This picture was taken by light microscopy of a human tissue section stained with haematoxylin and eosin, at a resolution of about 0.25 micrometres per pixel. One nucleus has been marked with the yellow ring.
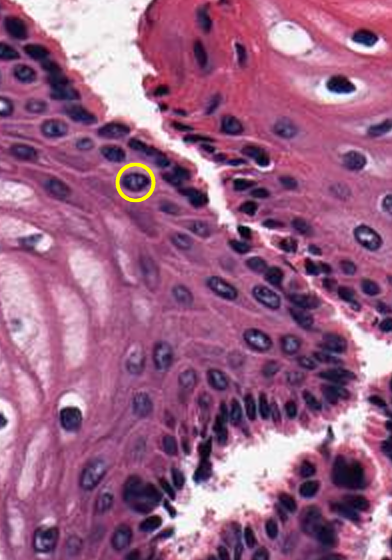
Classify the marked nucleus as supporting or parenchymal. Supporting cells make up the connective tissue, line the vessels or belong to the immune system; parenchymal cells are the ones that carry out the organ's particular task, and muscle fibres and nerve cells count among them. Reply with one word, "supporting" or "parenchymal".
parenchymal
